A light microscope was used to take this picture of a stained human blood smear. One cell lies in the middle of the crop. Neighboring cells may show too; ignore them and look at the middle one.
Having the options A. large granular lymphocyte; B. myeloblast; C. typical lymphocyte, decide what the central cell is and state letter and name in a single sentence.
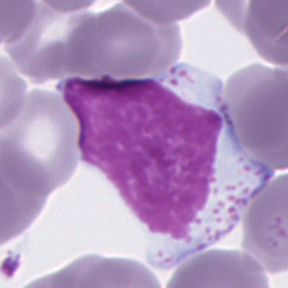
Option A is correct; the cell in the middle is a large granular lymphocyte.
